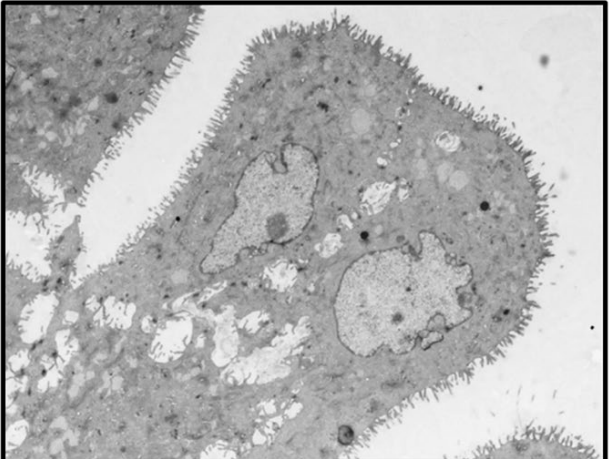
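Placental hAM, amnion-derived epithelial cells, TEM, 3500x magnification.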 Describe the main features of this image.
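Two nuclei with irregular, indented outlines and finely dispersed chromatin lie within it, one with a visible nucleolus. The cytoplasm contains pale, irregular vacuolar spaces, especially toward the base, and few dense granules.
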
